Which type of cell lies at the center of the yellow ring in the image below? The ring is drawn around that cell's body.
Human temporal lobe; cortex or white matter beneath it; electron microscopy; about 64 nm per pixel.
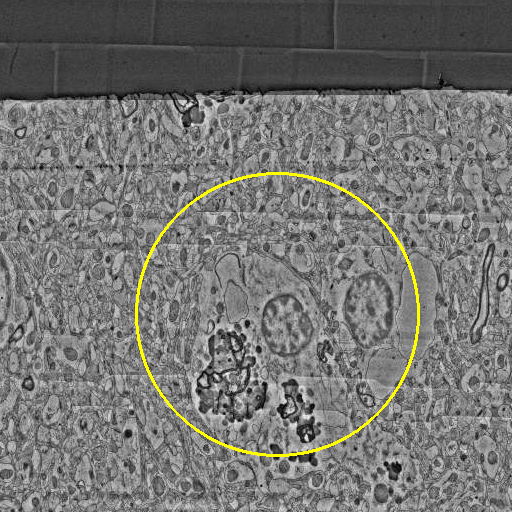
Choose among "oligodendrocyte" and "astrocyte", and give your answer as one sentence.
The cell body at the center belongs to an astrocyte.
